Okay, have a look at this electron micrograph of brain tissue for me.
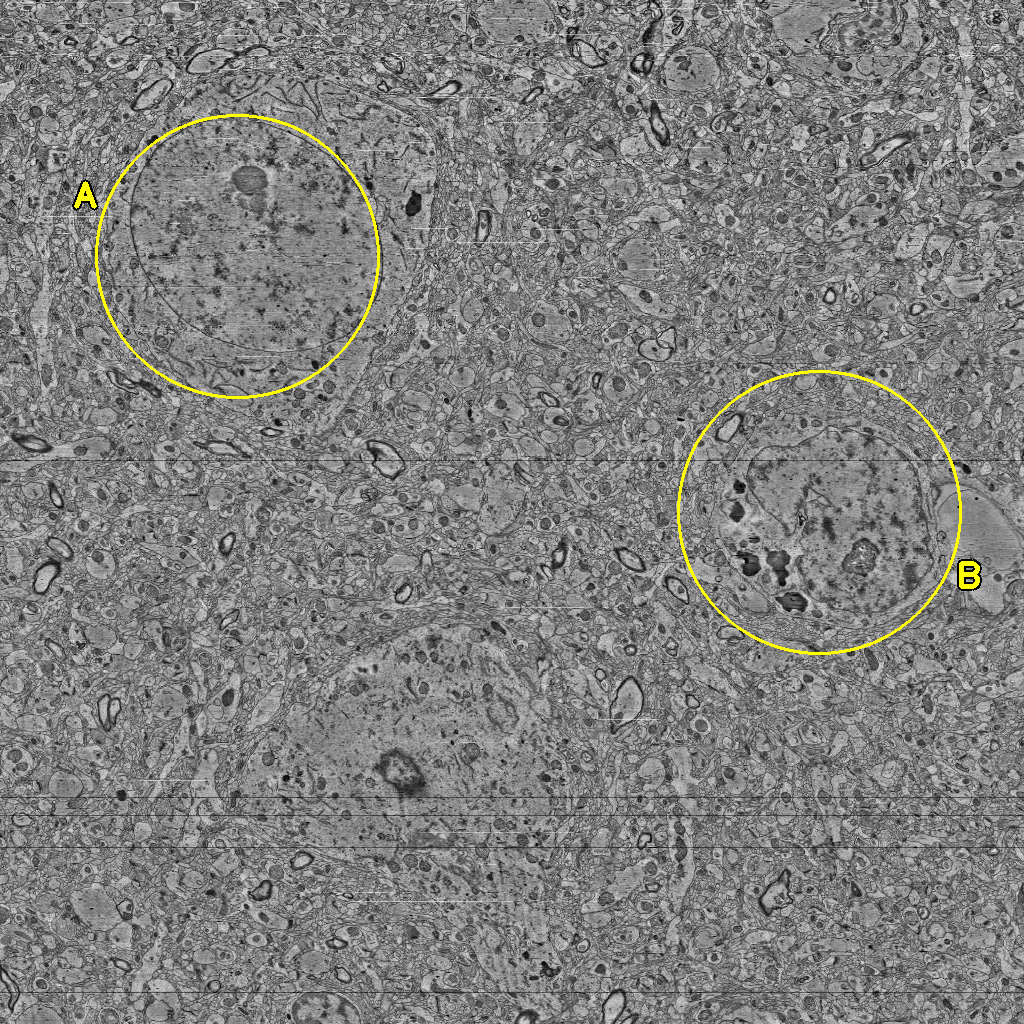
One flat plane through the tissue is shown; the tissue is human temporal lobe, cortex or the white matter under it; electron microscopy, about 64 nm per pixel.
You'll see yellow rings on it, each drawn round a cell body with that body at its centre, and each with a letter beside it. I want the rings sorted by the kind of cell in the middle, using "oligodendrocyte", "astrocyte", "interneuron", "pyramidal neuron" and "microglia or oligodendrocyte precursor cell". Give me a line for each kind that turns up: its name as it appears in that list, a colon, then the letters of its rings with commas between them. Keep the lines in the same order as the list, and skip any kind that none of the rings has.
interneuron: B
pyramidal neuron: A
